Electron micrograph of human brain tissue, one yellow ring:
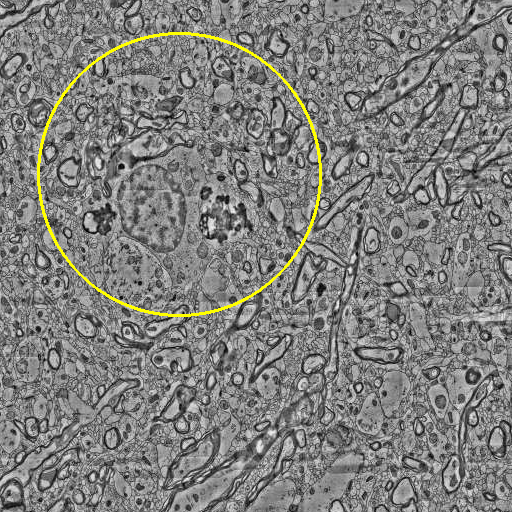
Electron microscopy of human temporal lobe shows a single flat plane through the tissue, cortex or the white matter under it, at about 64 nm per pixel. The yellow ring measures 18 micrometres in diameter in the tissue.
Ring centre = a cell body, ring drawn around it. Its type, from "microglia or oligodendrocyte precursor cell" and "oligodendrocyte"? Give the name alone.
oligodendrocyte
